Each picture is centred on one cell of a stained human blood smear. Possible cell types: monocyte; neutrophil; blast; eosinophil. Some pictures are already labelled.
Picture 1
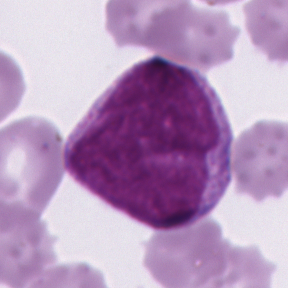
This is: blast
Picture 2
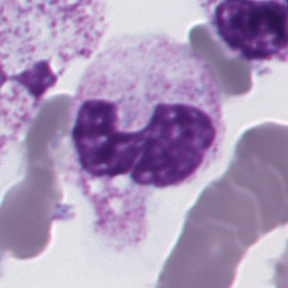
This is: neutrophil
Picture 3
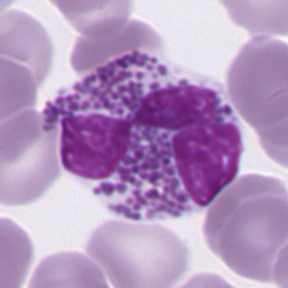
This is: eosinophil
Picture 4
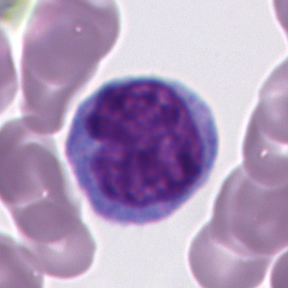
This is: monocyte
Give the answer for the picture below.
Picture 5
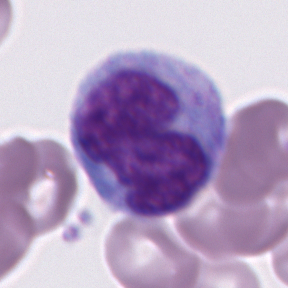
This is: monocyte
